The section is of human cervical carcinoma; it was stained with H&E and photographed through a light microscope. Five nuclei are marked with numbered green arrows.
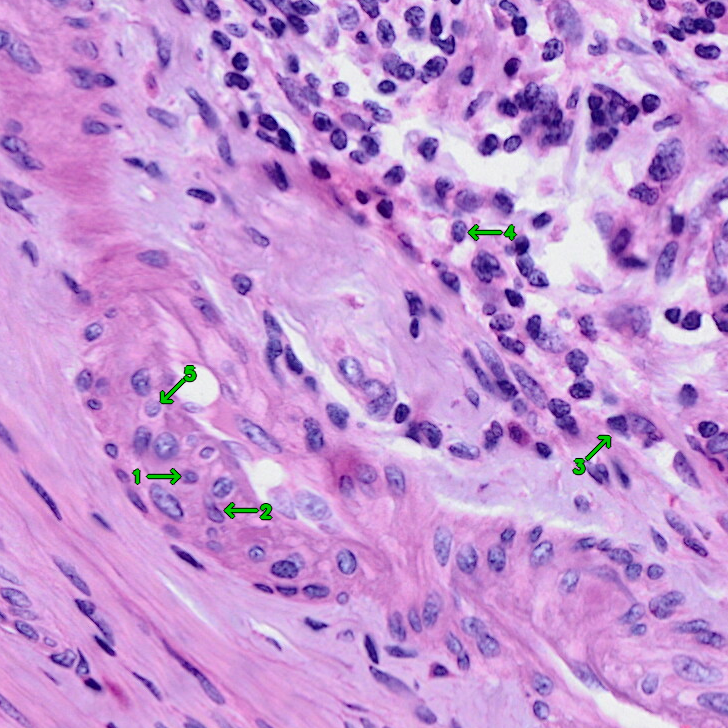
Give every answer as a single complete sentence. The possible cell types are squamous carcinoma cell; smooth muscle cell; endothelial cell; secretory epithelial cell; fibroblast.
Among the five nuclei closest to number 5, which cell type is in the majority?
Around number 5, most of the five nearest nuclei are those of smooth muscle cells.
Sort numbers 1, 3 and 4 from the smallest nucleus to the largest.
The order from the smallest nucleus to the largest is 1, 4, 3.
